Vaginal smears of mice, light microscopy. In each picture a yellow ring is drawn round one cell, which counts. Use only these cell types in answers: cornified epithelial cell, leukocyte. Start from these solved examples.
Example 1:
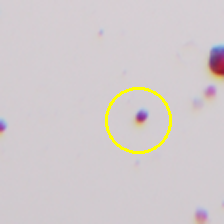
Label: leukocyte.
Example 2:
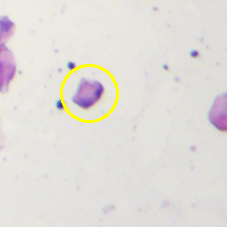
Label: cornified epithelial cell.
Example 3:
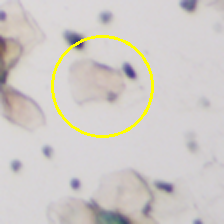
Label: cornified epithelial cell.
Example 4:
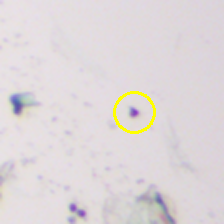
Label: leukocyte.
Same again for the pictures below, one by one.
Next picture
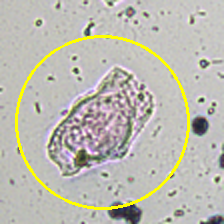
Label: cornified epithelial cell.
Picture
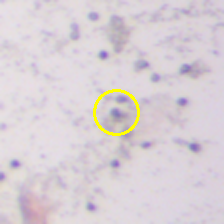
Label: leukocyte.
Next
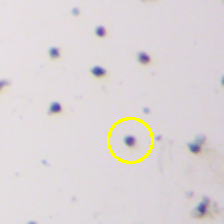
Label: leukocyte.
